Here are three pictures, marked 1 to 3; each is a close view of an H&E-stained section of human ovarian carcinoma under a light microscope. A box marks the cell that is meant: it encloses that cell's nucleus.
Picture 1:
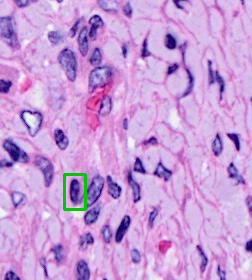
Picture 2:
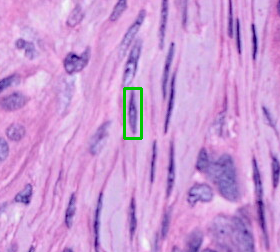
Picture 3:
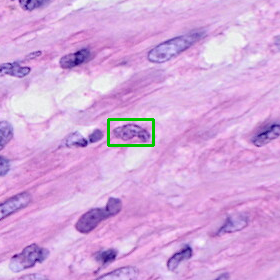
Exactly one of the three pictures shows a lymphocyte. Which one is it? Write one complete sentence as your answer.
Picture 1 is the one that shows the lymphocyte.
